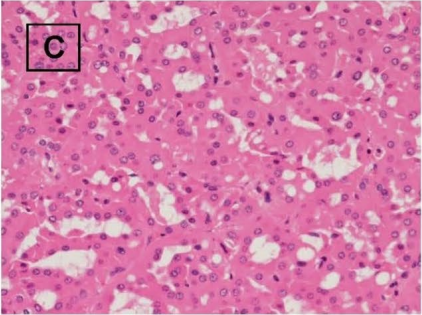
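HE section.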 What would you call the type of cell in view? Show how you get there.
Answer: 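Oncocytic tumor cells. Cells have abundant pink granular cytoplasm. Nuclei are small and round. Cells form tight trabeculae and small glands.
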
